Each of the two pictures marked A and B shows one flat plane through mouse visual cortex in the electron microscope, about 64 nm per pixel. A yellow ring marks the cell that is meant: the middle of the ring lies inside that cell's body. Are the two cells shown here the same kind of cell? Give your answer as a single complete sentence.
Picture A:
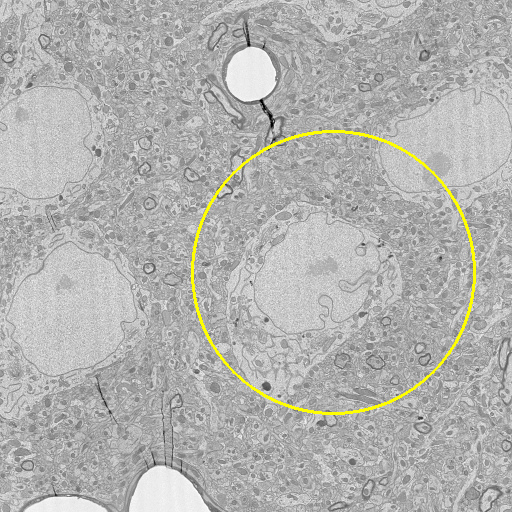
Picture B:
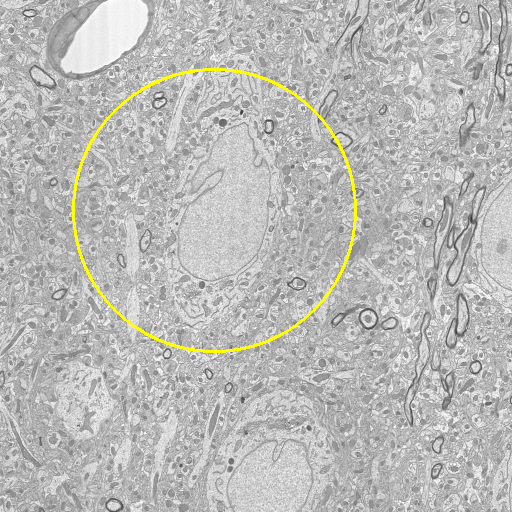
Yes, both are inhibitory neurons.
